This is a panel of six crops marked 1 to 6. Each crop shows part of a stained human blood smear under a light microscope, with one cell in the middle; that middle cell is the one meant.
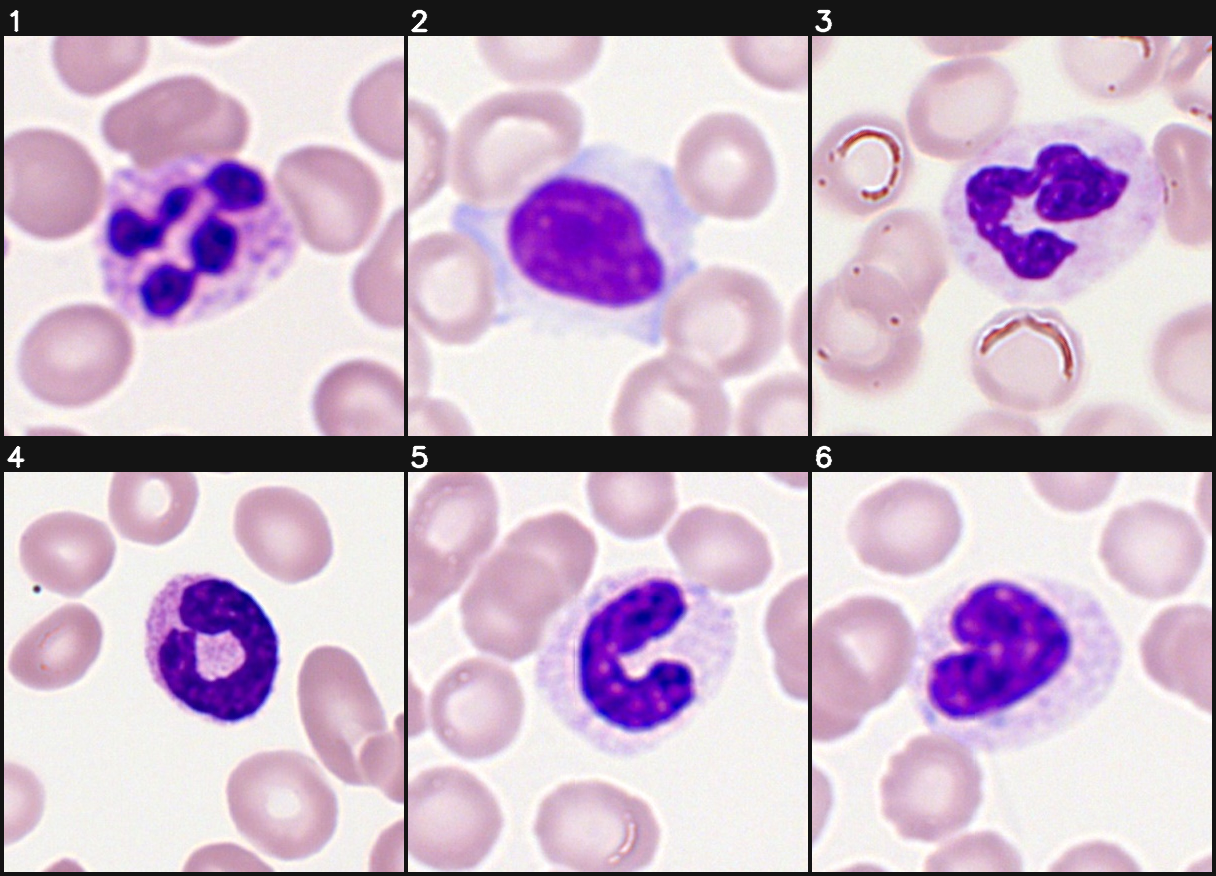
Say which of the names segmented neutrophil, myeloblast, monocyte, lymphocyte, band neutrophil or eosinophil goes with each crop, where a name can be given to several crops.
1: segmented neutrophil
2: lymphocyte
3: segmented neutrophil
4: band neutrophil
5: band neutrophil
6: band neutrophil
